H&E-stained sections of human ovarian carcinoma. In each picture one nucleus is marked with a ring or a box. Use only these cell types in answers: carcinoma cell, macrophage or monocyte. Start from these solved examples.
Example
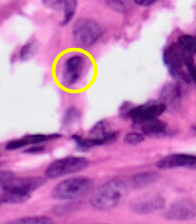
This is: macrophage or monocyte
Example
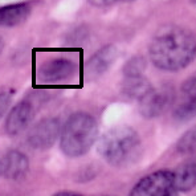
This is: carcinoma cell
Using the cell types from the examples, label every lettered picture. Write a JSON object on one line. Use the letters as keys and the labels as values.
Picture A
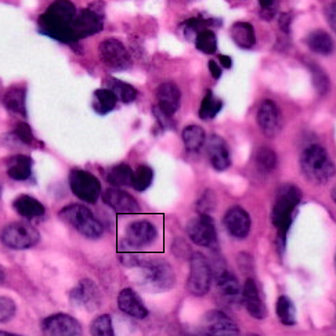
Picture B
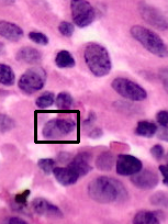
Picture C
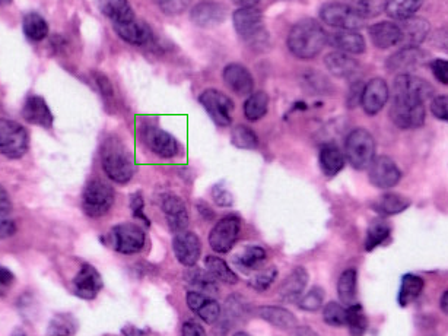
{"A": "macrophage or monocyte", "B": "macrophage or monocyte", "C": "carcinoma cell"}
